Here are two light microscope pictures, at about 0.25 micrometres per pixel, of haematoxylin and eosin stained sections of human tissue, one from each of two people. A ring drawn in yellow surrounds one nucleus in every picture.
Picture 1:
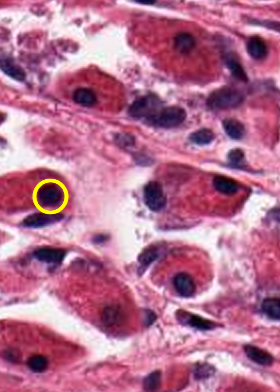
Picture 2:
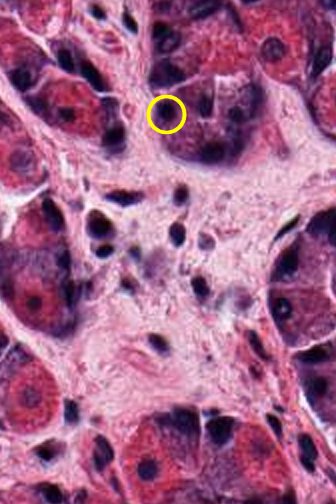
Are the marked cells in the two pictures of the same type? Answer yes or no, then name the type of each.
No, the first is a parietal cell and the second a chief cell.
